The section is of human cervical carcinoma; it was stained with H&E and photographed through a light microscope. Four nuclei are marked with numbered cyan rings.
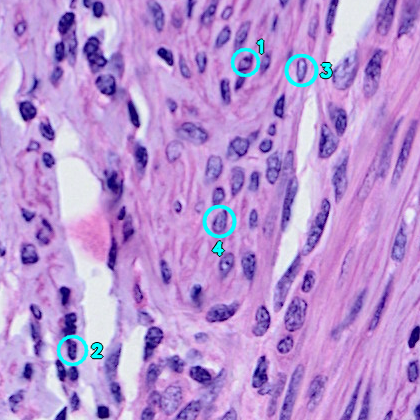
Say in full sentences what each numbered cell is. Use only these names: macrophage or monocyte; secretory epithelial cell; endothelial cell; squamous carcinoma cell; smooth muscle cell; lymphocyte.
Cell 1 is a smooth muscle cell, cell 2 is a lymphocyte, cell 3 is a smooth muscle cell and cell 4 is a smooth muscle cell.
